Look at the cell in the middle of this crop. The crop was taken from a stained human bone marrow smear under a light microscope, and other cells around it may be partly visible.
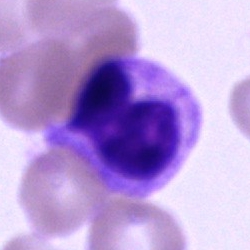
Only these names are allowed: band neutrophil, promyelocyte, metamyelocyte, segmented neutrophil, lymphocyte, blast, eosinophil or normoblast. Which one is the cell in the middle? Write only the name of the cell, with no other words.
metamyelocyte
